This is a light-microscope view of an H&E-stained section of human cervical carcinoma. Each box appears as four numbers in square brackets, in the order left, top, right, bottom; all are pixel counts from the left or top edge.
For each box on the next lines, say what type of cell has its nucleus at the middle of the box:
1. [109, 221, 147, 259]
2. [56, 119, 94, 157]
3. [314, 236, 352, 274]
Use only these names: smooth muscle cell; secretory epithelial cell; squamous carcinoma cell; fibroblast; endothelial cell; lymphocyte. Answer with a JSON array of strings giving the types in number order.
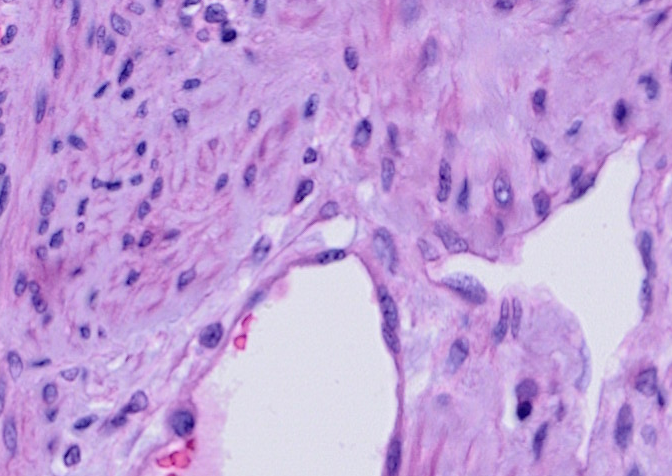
["smooth muscle cell", "smooth muscle cell", "endothelial cell"]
